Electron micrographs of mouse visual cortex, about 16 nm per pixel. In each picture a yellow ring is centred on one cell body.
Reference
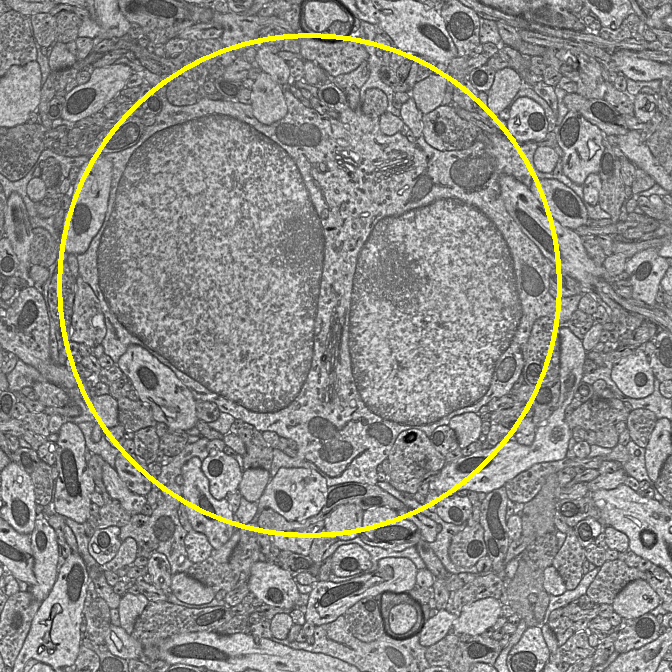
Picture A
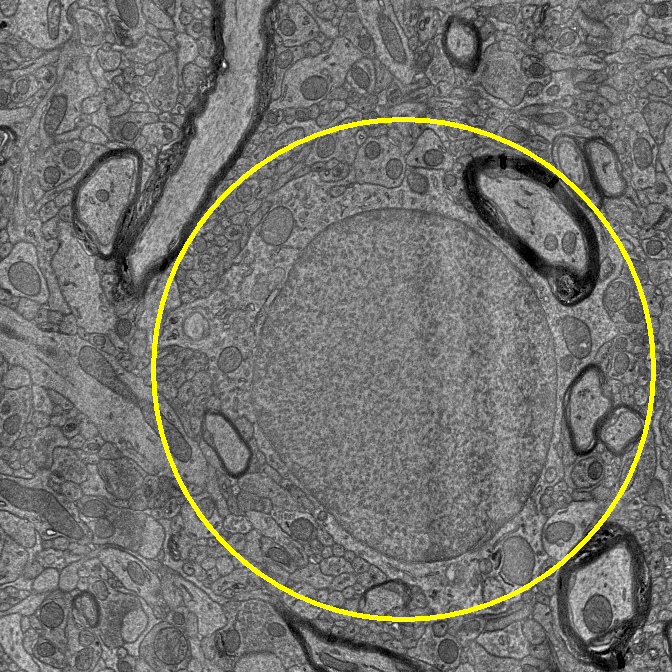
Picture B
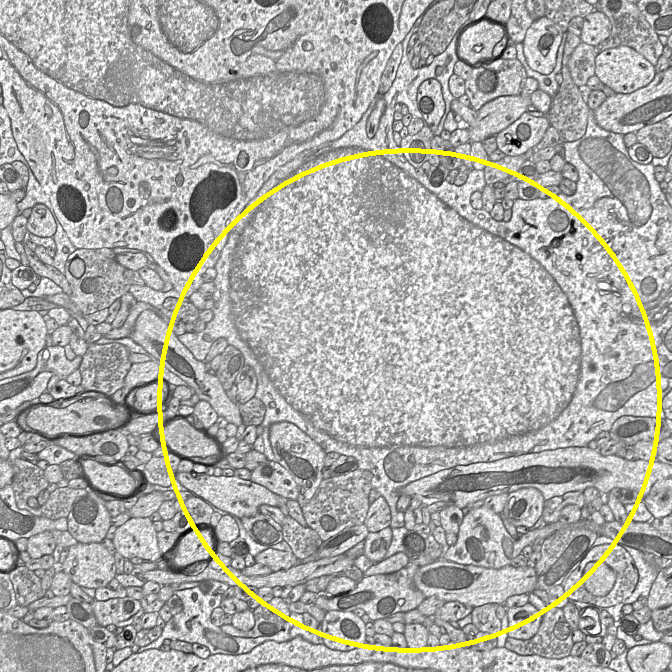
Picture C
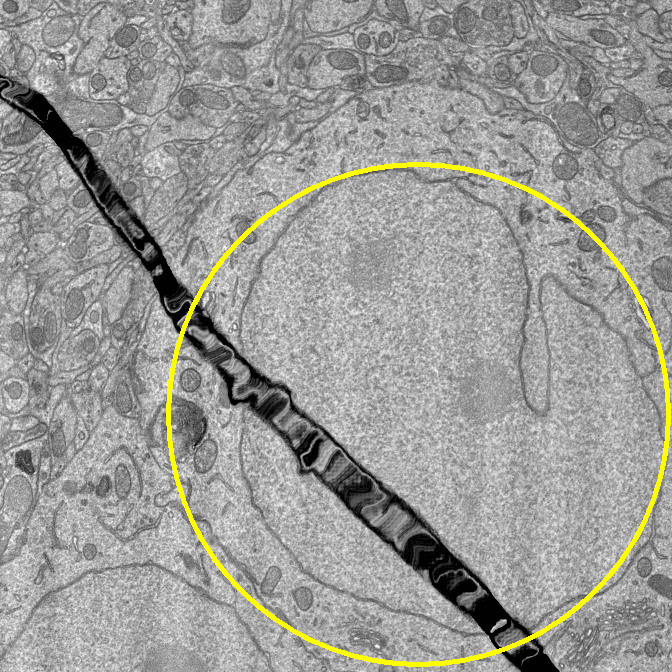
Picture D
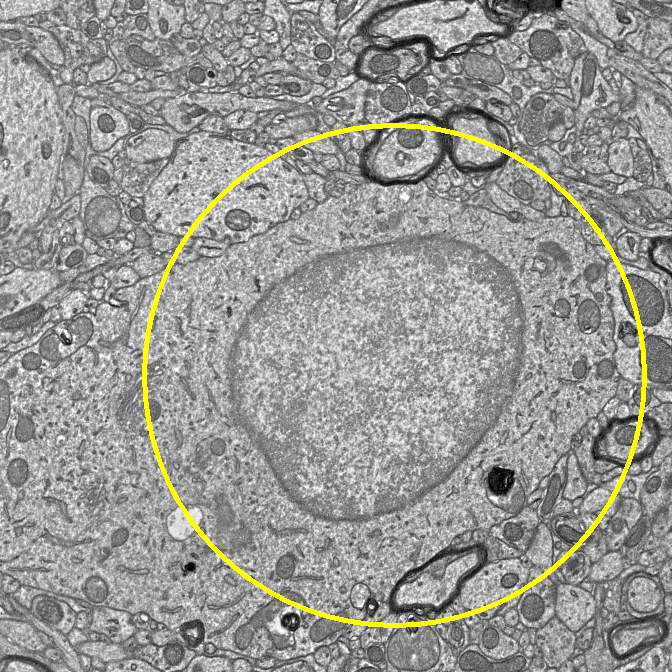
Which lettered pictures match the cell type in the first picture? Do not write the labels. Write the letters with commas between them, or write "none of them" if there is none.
A, B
